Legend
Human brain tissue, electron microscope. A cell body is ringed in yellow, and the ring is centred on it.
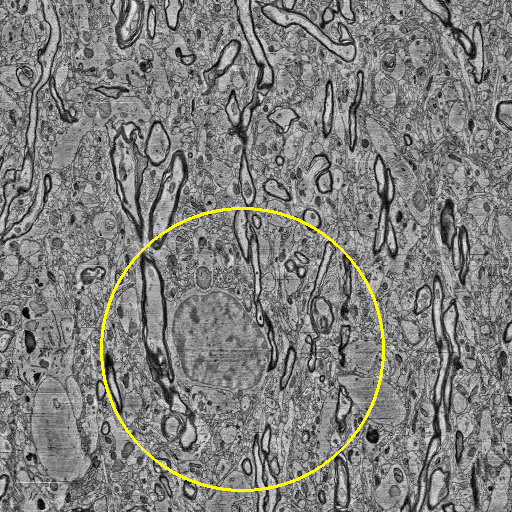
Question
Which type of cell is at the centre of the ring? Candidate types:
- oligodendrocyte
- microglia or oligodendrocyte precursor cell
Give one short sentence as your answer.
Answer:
The yellow ring is centred here on an oligodendrocyte.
